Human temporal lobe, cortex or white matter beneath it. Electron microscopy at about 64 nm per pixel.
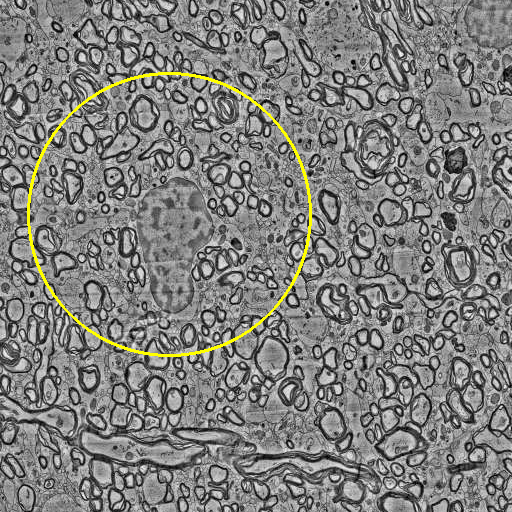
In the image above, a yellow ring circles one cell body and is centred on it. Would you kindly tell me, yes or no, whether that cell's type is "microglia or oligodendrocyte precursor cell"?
yes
